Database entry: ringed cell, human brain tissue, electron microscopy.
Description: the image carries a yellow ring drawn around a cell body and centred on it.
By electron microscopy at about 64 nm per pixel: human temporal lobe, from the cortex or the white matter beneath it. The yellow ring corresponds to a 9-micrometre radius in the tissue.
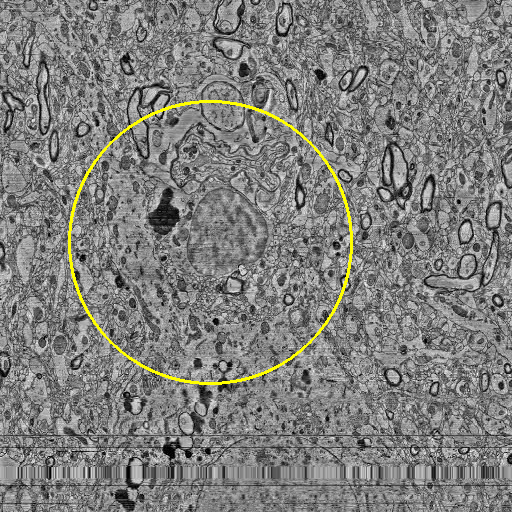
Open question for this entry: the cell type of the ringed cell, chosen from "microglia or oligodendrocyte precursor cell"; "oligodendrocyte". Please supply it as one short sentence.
The ringed cell is an oligodendrocyte.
